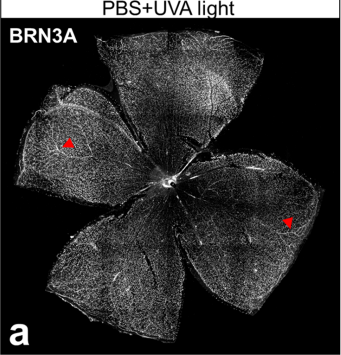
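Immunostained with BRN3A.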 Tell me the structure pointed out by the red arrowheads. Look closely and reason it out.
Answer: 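Blood vessels. The arrowheads point to faint linear branching tracks within the granular sheet.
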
